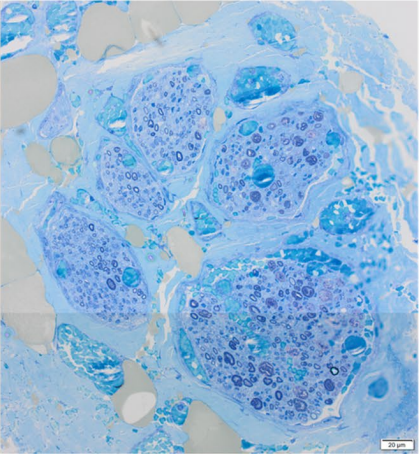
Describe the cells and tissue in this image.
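This cross-section of a peripheral nerve shows several rounded fascicles of nerve fibres set in pale blue connective tissue. Clear, empty rounded spaces that look like fat cells lie between them. Each fascicle has a thin surrounding sheath and is filled with many small round fibre profiles cut across. Some fibres have a dark blue ring around a pale core, which is the look of myelinated axons. Many smaller fibres lack a distinct dark ring and appear as unmyelinated axons. The fascicles differ in size, and small darker nuclei are scattered among the fibres.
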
